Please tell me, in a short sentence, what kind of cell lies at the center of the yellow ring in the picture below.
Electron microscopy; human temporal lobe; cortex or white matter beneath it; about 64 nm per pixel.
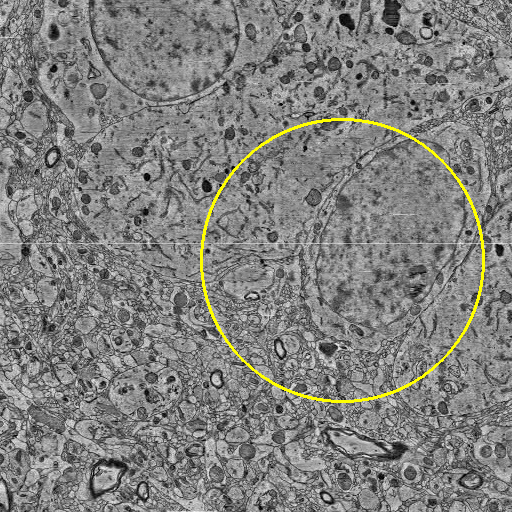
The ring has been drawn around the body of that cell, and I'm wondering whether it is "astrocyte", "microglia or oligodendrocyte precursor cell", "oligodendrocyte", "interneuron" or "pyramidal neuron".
The cell at the center of the ring is an interneuron.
